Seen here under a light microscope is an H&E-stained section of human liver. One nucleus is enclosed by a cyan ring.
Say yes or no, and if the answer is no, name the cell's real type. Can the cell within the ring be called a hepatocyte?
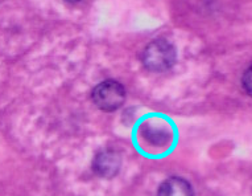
No, it is a Kupffer cell.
